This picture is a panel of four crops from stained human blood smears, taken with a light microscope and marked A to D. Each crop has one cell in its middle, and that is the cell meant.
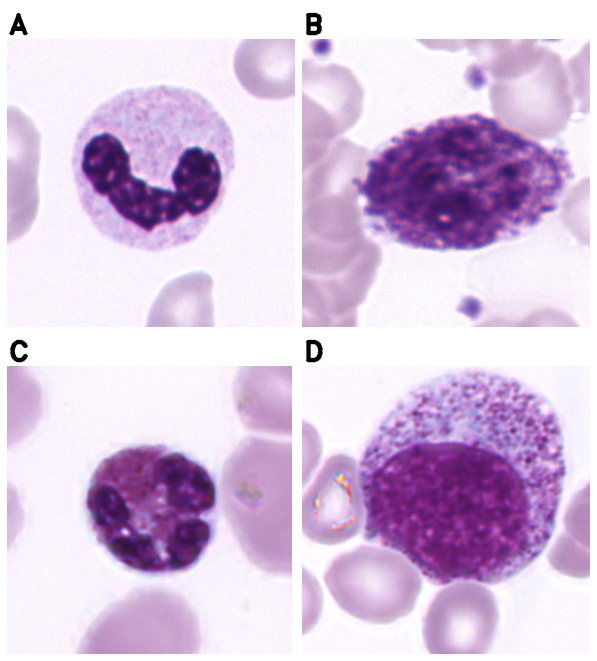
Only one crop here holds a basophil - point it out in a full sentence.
Only in crop B is a basophil shown.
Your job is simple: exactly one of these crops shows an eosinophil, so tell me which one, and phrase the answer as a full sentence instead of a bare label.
The crop that shows an eosinophil is crop C.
